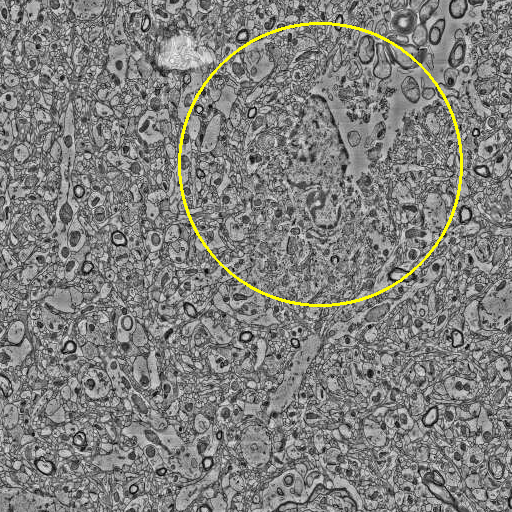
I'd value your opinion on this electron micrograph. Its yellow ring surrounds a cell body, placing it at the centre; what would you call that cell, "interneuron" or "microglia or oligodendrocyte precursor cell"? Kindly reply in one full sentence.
It is a microglial cell or oligodendrocyte precursor cell that sits centred within the yellow ring in this micrograph.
